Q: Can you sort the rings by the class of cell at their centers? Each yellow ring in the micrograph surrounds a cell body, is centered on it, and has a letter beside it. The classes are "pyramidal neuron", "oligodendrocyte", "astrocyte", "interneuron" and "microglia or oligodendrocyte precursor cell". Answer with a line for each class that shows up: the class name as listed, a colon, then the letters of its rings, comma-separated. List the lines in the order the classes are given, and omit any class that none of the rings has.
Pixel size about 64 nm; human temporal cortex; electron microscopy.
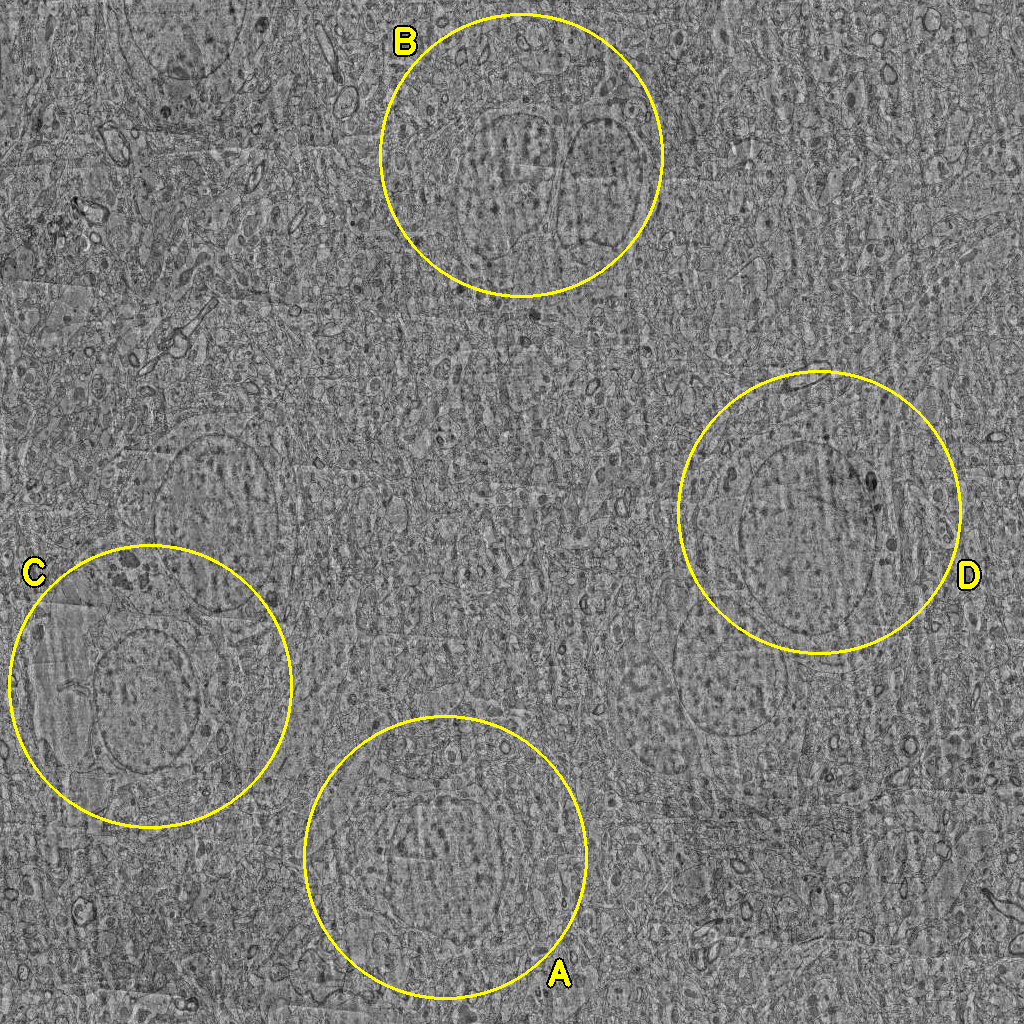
pyramidal neuron: D
astrocyte: C
interneuron: A, B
